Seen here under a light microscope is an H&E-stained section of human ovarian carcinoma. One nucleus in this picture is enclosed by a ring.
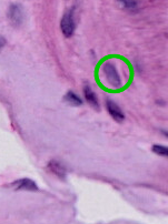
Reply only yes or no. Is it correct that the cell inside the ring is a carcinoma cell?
no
